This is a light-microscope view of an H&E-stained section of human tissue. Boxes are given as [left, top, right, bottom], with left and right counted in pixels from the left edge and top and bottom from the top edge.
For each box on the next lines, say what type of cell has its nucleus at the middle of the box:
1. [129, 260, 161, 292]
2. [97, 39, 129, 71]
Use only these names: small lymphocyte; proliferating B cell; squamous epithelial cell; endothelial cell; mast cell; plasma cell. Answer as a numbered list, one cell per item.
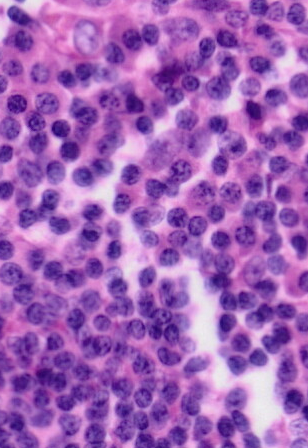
1. small lymphocyte
2. plasma cell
